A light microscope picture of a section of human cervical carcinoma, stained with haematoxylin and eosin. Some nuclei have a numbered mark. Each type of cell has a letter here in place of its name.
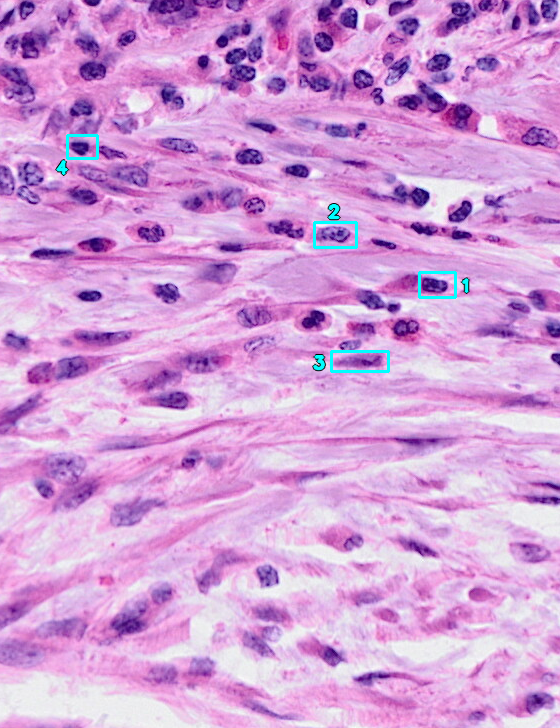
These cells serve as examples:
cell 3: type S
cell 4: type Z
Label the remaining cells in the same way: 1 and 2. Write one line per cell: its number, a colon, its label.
1: type Z
2: type Z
